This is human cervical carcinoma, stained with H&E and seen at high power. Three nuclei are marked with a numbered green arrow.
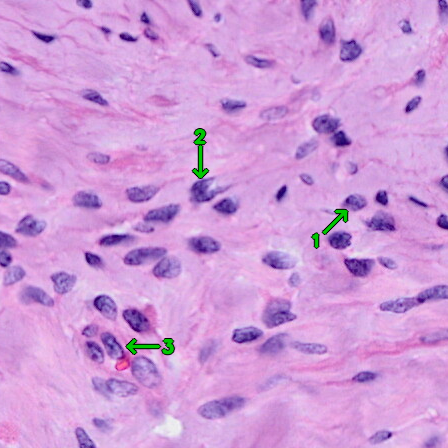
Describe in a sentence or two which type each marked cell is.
Cells 1 and 2 are fibroblasts. Cell 3 is an endothelial cell.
